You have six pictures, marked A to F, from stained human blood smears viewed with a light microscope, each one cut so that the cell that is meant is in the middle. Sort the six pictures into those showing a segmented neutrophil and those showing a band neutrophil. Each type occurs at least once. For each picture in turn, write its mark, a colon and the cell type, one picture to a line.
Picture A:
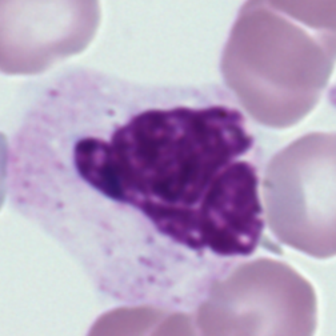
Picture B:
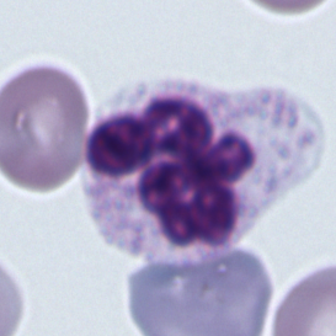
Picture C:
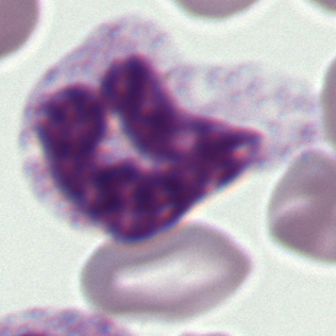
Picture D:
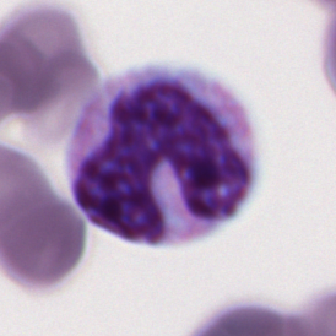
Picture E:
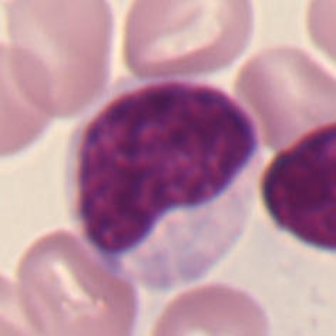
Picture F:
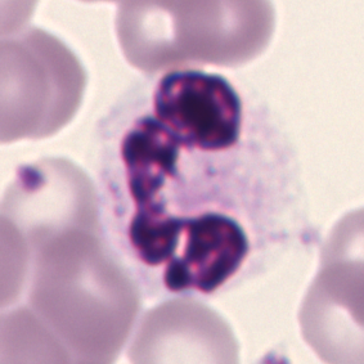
A: segmented neutrophil
B: segmented neutrophil
C: segmented neutrophil
D: band neutrophil
E: band neutrophil
F: segmented neutrophil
